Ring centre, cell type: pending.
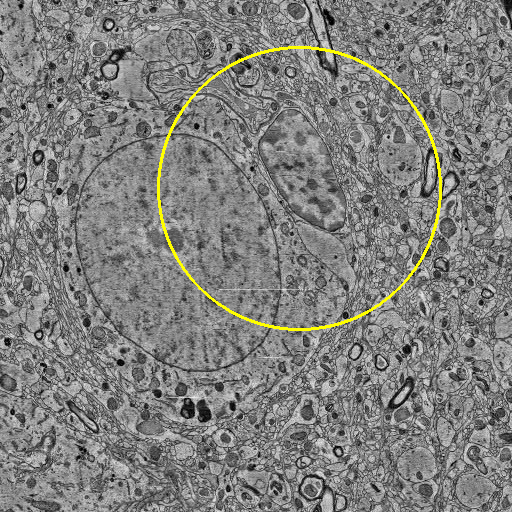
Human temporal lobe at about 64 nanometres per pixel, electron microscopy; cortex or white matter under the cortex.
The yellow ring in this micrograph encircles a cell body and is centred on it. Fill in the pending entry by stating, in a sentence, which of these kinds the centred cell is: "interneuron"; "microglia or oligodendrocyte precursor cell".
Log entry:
The centred cell is recorded as a microglial cell or oligodendrocyte precursor cell.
